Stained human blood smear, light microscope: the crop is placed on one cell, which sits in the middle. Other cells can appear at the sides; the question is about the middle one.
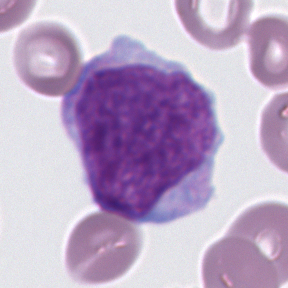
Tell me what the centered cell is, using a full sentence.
The center cell of this crop is an atypical promyelocyte.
